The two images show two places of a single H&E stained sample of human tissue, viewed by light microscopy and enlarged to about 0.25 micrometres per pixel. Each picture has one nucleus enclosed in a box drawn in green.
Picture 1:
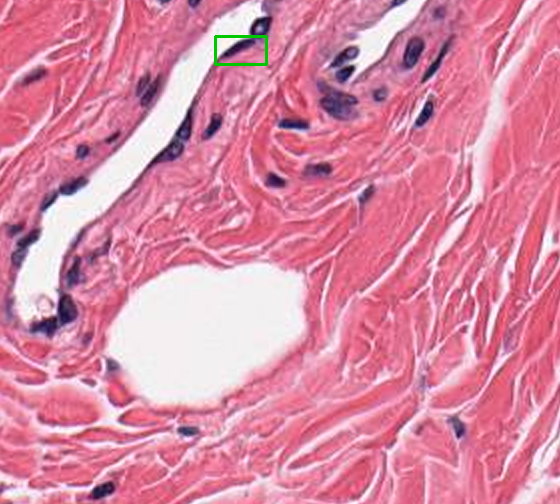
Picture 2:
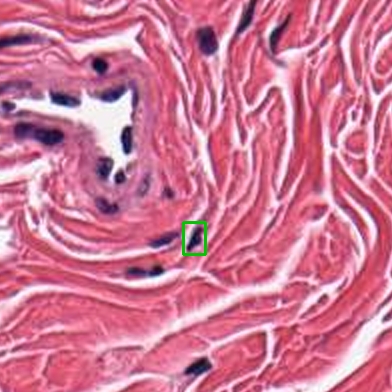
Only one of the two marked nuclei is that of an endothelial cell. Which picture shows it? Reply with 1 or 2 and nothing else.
1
